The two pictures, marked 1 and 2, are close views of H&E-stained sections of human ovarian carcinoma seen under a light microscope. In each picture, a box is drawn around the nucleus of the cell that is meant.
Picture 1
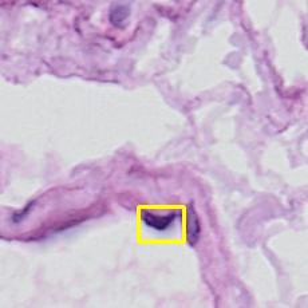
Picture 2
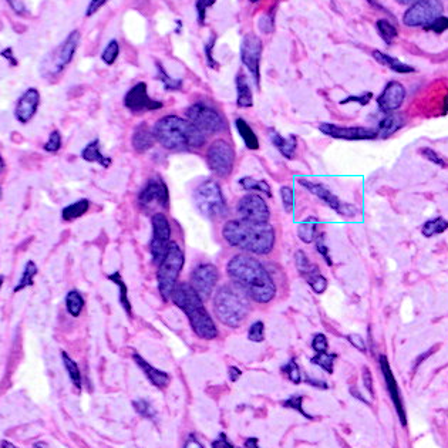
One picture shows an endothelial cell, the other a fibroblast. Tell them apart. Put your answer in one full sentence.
In picture 1 the cell is an endothelial cell; in picture 2, a fibroblast.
